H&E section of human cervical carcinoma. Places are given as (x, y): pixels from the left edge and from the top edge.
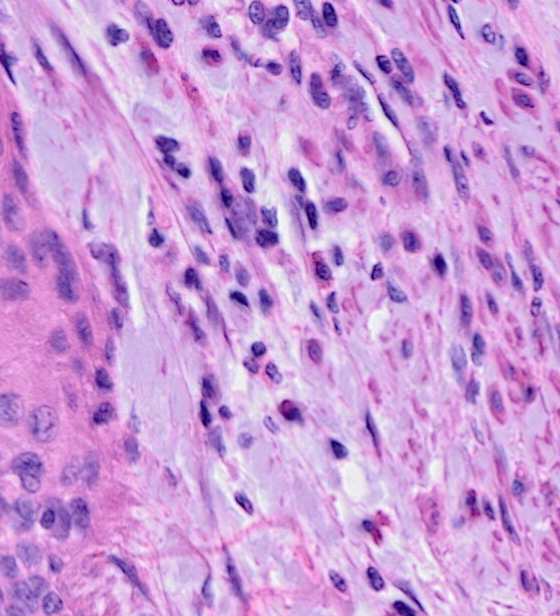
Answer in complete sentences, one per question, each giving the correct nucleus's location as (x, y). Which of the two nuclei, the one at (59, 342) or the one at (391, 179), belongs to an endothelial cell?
The nucleus that belongs to an endothelial cell sits at (391, 179).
